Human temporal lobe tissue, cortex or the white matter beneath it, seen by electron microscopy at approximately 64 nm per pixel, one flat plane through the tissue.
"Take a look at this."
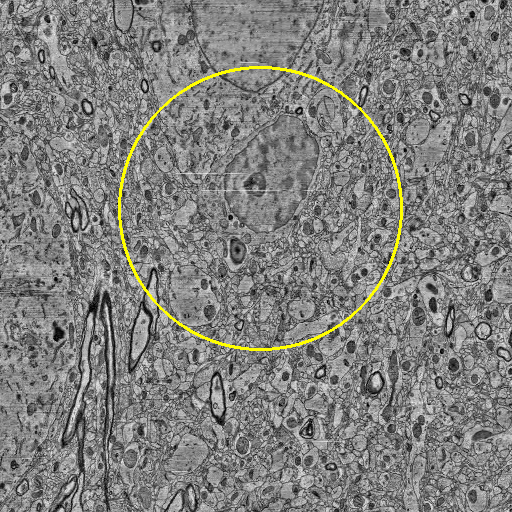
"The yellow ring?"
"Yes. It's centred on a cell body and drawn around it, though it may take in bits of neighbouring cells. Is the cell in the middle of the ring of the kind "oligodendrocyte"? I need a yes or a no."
Yes, it is of the kind asked about.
